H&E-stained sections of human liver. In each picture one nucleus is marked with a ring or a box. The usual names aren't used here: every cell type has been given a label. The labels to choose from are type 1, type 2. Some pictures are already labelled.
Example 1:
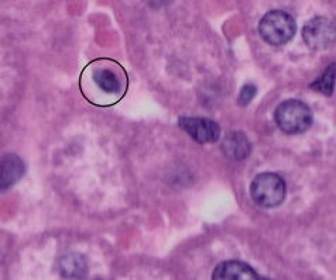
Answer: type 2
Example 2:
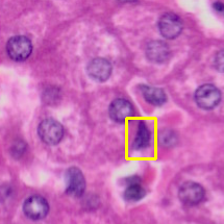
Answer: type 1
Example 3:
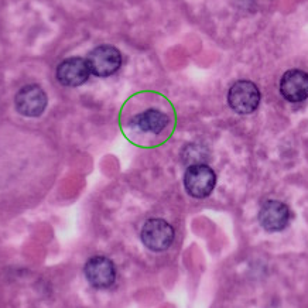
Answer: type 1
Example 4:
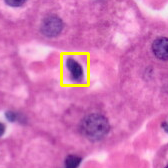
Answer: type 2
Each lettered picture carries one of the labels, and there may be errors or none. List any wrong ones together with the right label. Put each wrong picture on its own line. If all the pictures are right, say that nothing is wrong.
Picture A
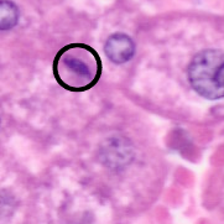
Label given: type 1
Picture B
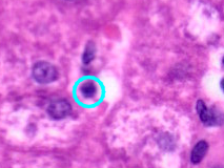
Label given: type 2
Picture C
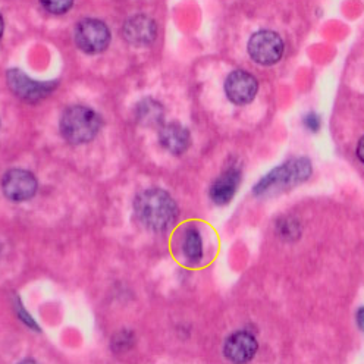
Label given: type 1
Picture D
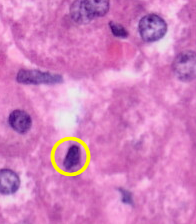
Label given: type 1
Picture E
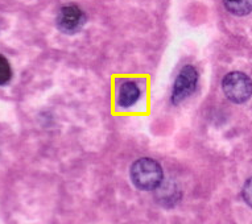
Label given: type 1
Nothing to fix; every label fits.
